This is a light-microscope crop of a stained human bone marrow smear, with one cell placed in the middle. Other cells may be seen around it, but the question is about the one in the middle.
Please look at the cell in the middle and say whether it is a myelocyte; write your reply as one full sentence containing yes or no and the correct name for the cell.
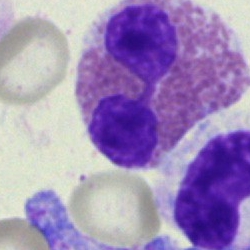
No, the cell at the centre is identified as an eosinophil, not as a myelocyte.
